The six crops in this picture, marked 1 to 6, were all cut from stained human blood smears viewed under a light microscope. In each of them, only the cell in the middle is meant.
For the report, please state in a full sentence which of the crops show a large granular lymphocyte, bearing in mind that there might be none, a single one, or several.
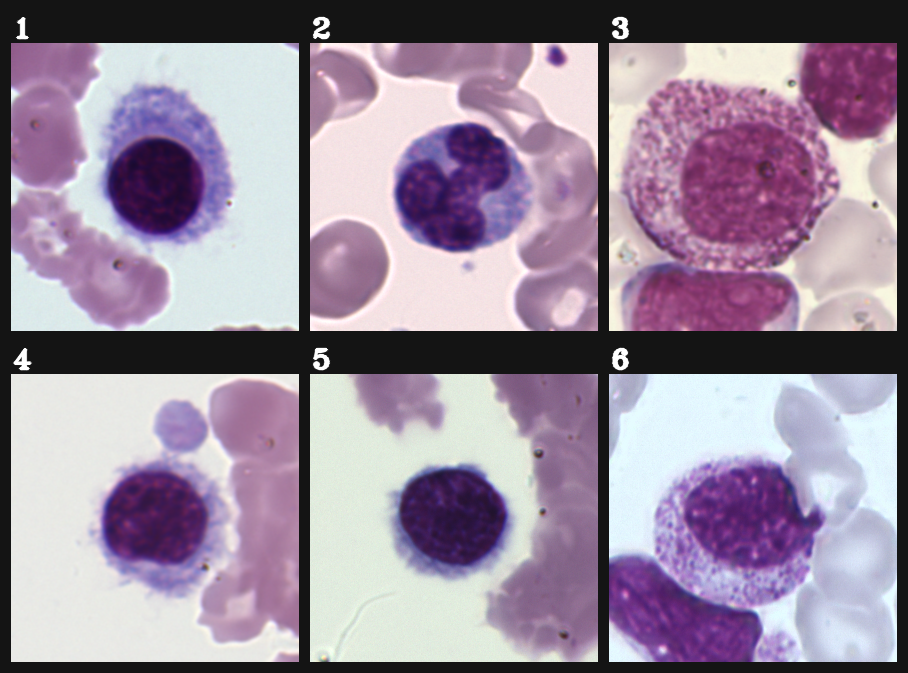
Honestly, none of these crops shows a large granular lymphocyte.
